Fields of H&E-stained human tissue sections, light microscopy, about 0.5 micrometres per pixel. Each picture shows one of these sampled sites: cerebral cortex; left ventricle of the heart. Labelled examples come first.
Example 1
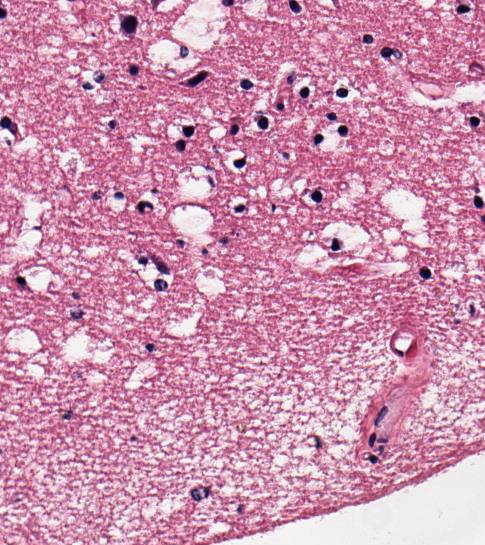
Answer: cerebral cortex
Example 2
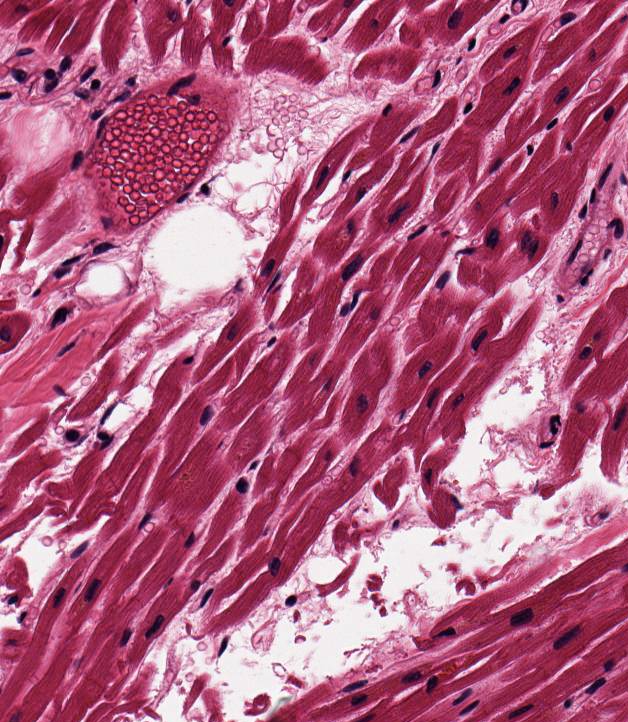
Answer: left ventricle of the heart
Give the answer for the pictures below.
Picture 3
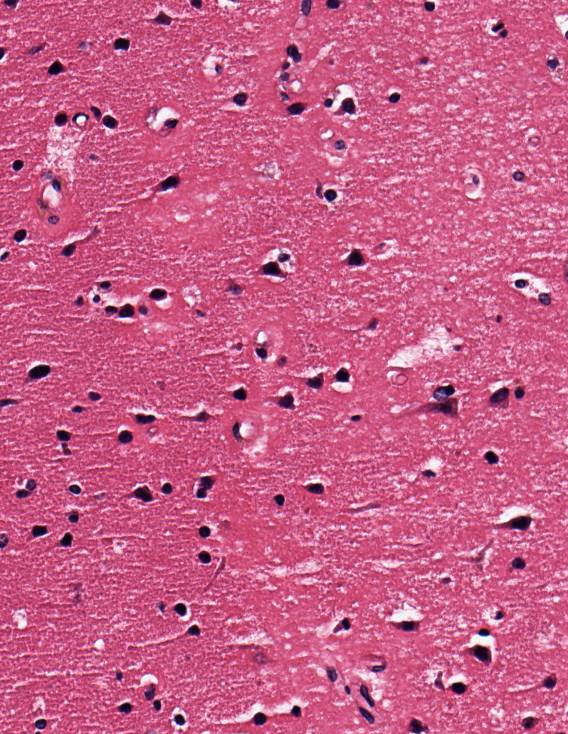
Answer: cerebral cortex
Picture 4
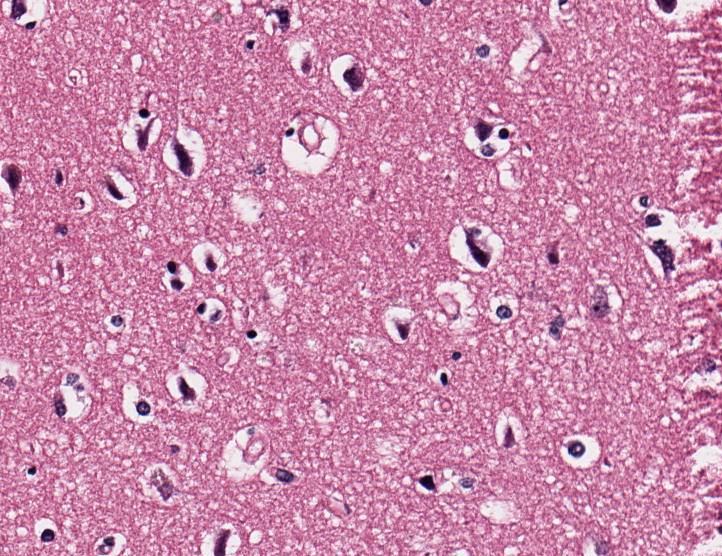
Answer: cerebral cortex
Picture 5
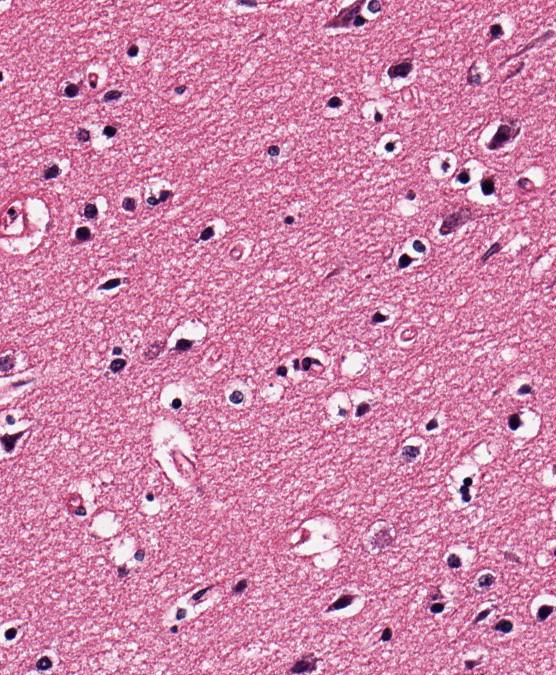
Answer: cerebral cortex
